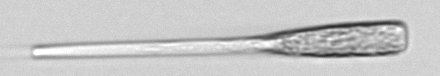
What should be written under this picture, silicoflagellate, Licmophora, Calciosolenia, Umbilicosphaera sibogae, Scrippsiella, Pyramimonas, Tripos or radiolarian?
Licmophora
